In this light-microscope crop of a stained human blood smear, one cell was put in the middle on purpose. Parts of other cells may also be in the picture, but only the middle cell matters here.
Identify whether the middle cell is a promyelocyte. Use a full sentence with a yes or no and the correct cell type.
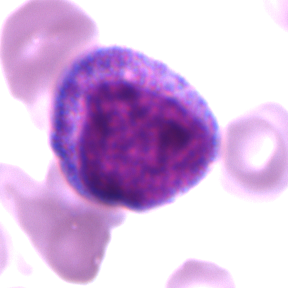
Yes, the central cell is to be recorded as a promyelocyte.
